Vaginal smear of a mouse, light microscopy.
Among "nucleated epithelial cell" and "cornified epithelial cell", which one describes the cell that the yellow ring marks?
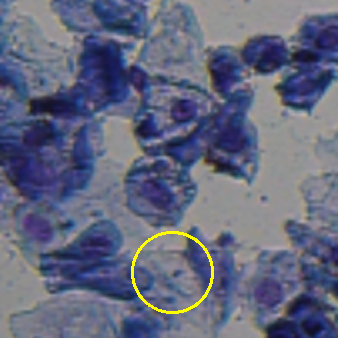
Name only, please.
cornified epithelial cell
